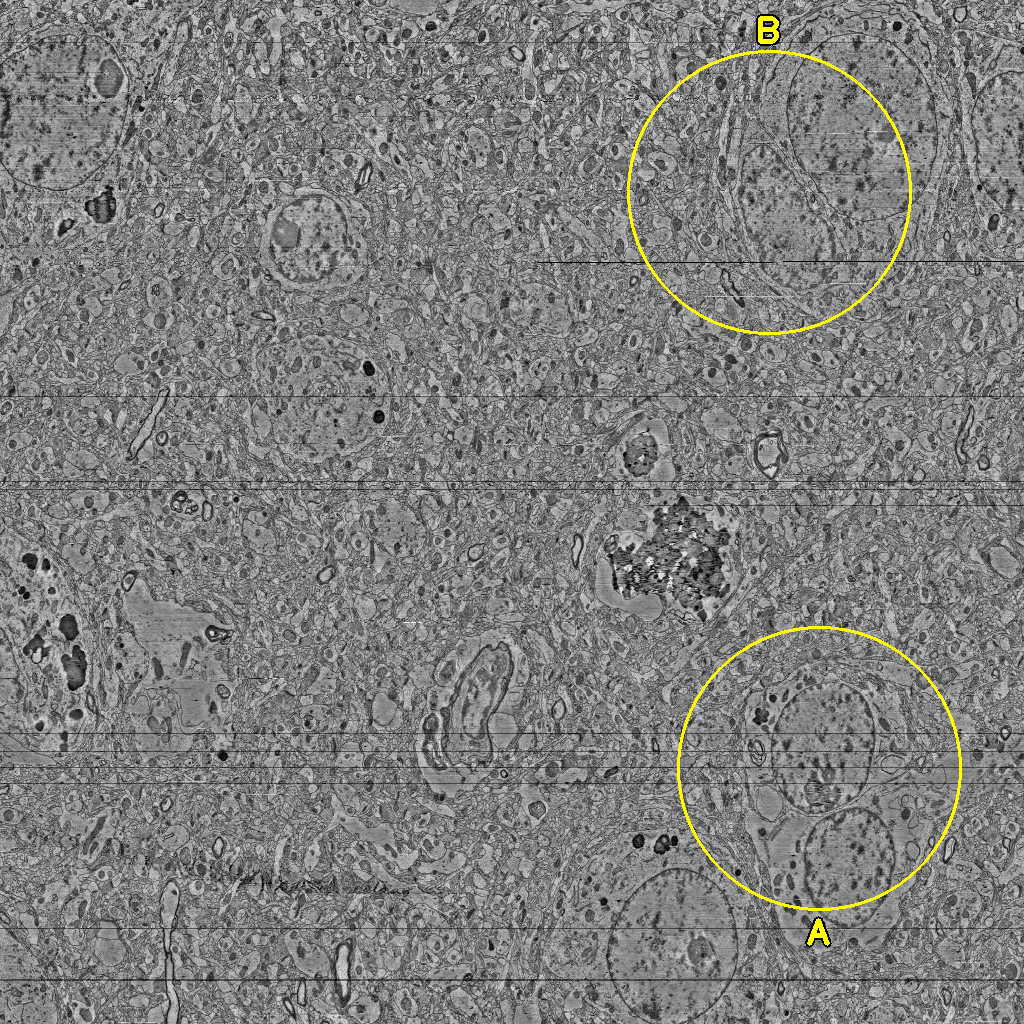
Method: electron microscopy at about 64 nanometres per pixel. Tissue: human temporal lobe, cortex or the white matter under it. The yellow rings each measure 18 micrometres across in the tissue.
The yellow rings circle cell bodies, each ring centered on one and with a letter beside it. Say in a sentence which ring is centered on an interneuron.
Ring B is centered on it.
